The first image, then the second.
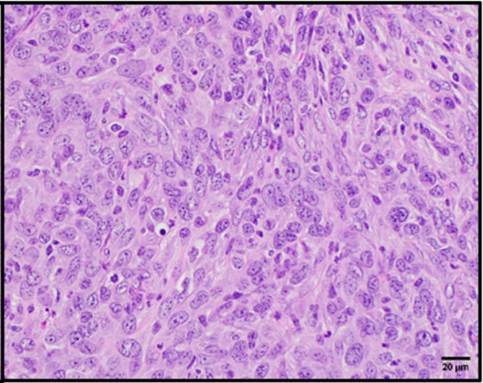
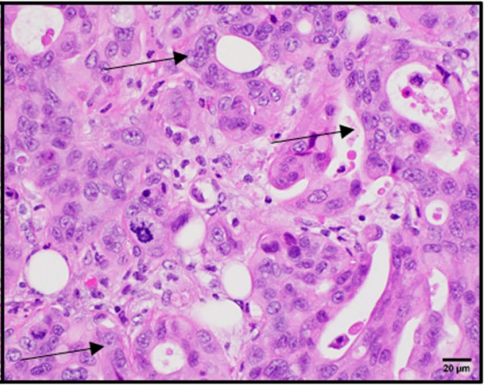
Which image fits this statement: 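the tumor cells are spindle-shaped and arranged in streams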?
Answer: The first image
